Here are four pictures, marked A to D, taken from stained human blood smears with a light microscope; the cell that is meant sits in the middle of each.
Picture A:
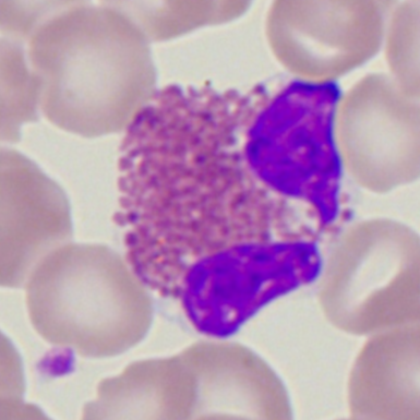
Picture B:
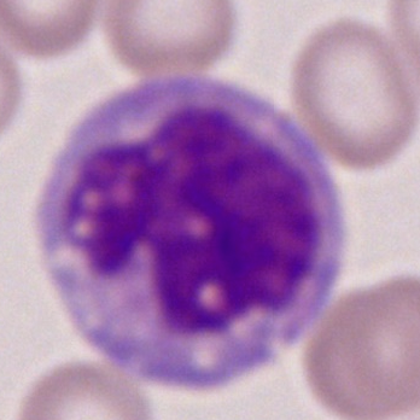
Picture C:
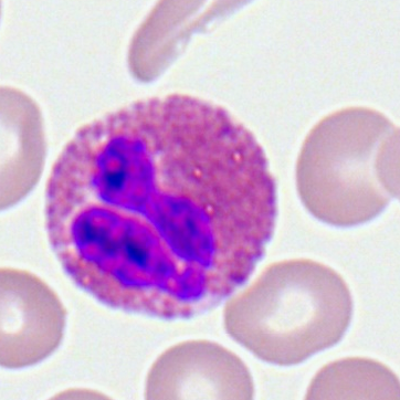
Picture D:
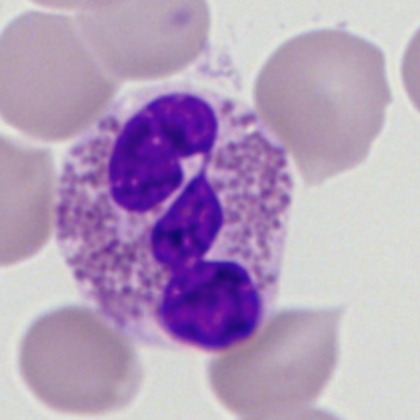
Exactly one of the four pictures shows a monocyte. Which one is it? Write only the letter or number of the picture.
B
